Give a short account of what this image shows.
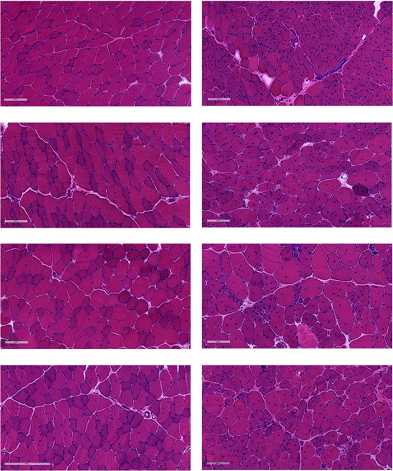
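Cross-sections of skeletal muscle show pink, polygonal fibres packed closely together. In the left-hand column the fibres are fairly uniform, with small dark purple nuclei lying at their edges. In the right-hand column the fibres vary more in size, and many carry a nucleus in their centre. Narrow pale spaces separate some of the fibre bundles.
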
